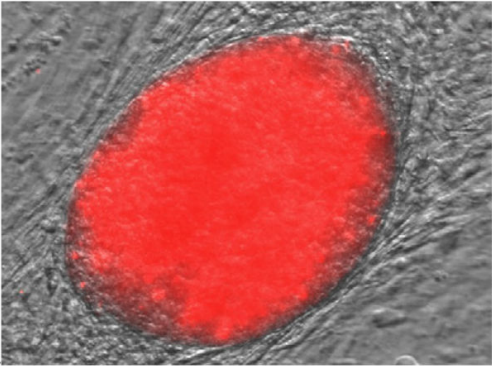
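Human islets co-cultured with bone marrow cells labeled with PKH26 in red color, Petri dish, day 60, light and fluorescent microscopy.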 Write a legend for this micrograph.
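A large oval mass of densely packed cells fills the middle of the field and glows bright red throughout. Around it lies a dense layer of elongated, spindle-shaped cells that run in streams parallel to the rim of the mass, without red glow.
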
